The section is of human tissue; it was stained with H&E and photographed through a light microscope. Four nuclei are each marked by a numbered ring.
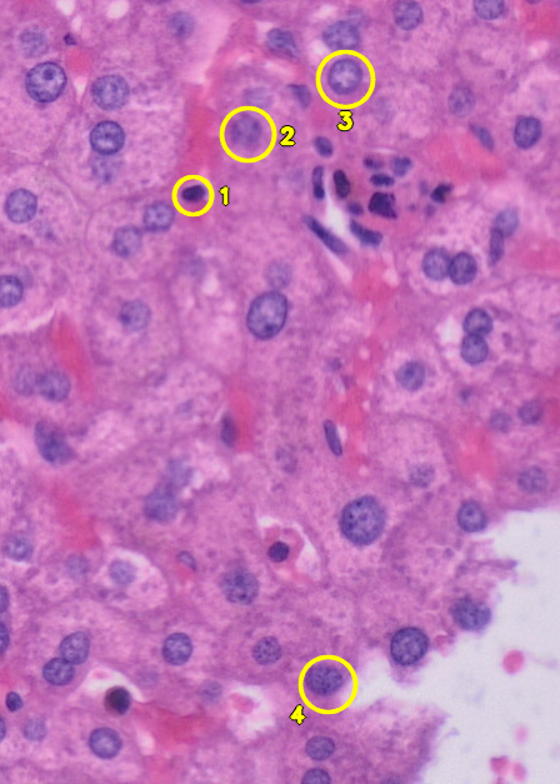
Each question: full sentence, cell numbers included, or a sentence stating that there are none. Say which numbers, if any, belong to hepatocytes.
The cells marked 2, 3 and 4 in the section are hepatocytes.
